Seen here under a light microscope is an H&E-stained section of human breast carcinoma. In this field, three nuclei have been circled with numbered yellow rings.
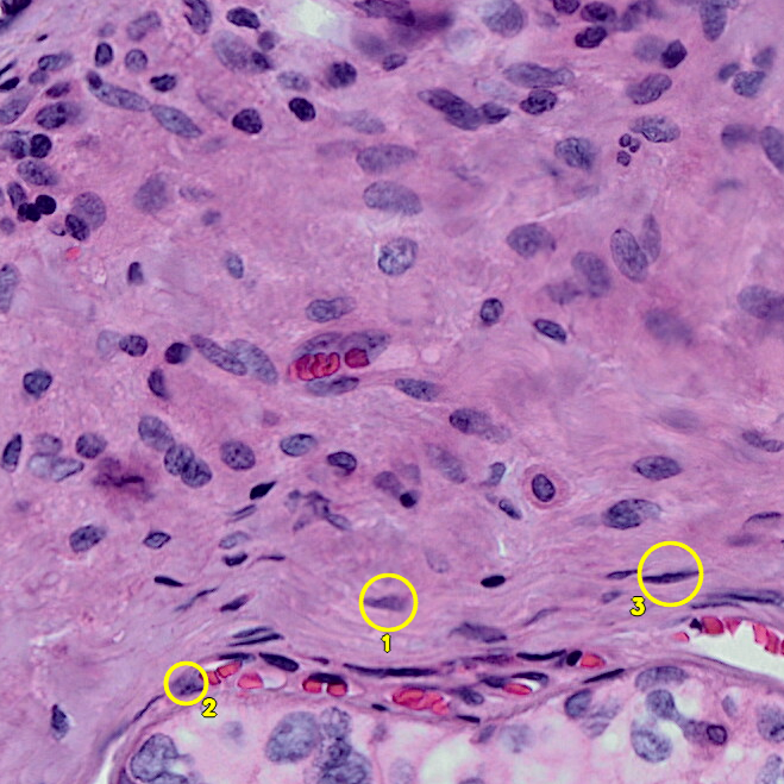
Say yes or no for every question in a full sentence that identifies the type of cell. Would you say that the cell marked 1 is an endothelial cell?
No, number 1 is not an endothelial cell; it is a fibroblast.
